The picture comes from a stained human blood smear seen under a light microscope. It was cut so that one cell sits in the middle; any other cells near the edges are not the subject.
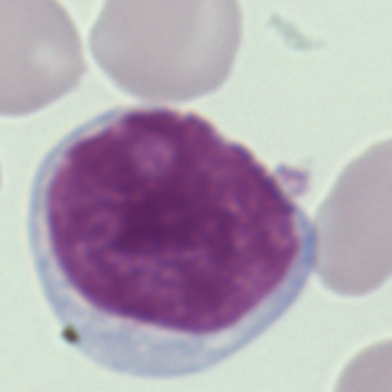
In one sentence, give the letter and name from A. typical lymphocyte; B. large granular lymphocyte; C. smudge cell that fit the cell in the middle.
The cell at the heart of the crop is a typical lymphocyte, so choose option A.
